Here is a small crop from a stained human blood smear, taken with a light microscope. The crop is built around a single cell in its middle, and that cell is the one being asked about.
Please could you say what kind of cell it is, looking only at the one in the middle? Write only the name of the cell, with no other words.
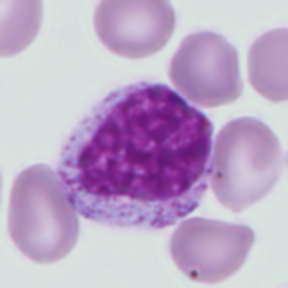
metamyelocyte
